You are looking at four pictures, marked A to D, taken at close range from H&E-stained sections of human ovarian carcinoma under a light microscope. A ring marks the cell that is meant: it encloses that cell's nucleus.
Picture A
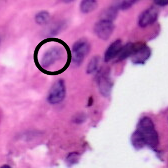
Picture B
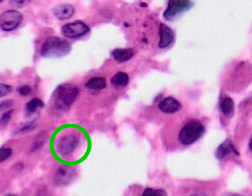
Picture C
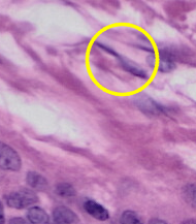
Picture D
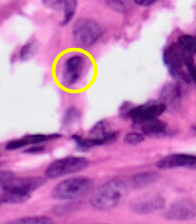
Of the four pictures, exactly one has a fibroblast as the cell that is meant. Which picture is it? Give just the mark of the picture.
C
